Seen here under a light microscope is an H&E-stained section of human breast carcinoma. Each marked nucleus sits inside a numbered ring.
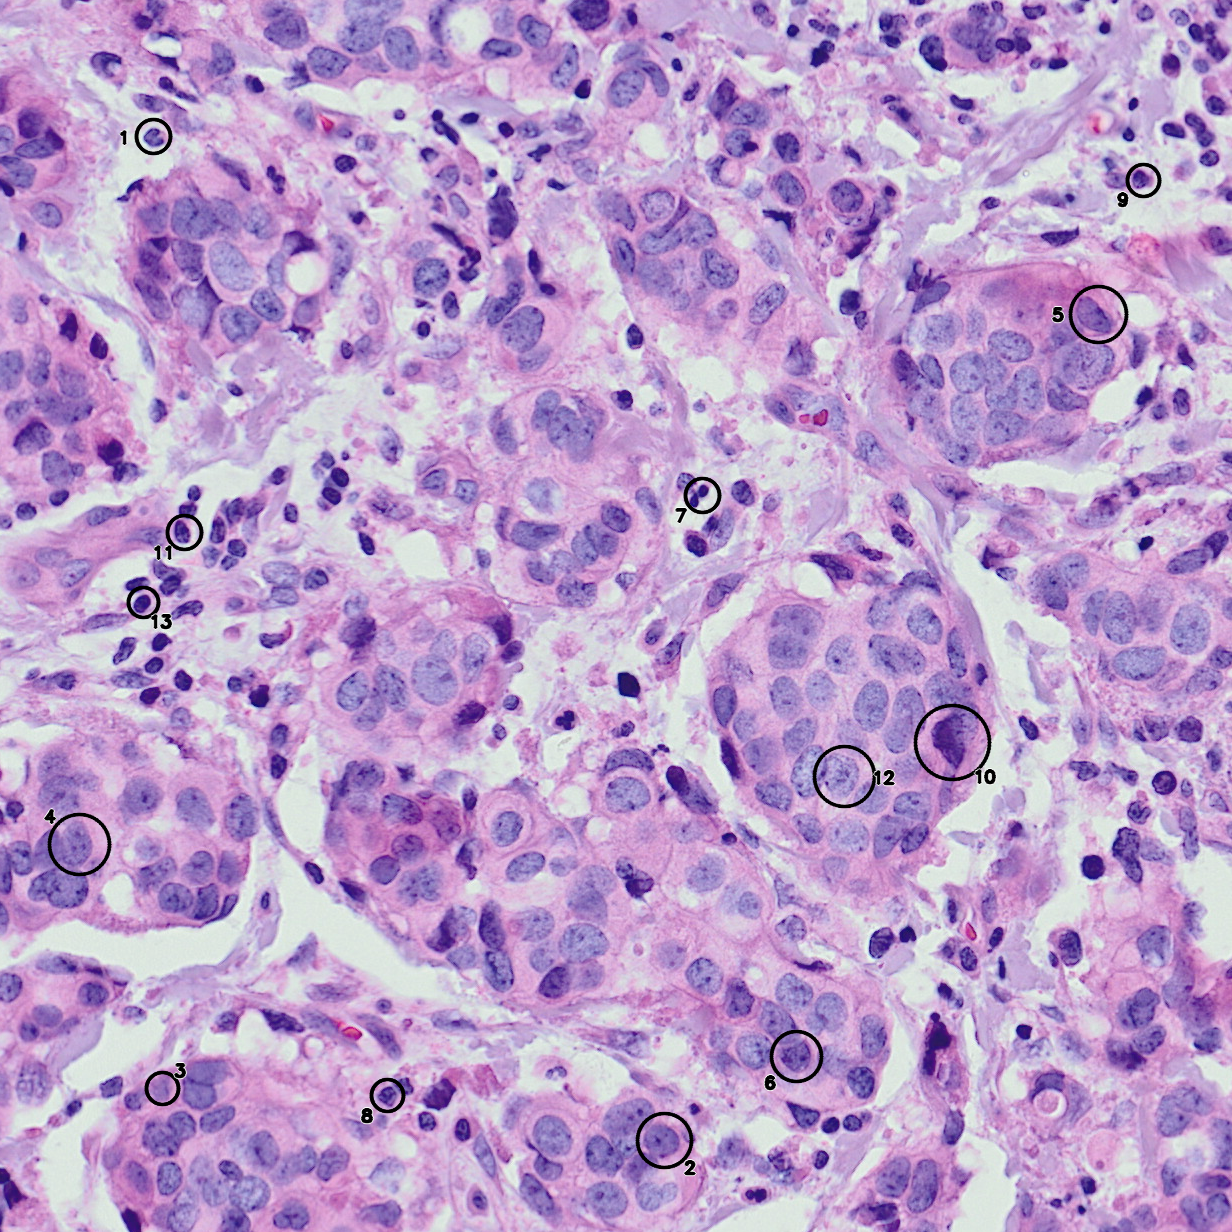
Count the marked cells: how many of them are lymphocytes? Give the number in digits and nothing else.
6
